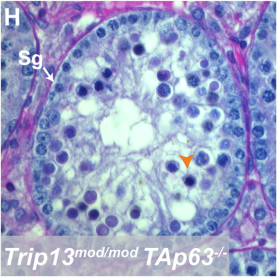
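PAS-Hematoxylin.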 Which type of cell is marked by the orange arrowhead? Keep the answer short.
Condensed spermatocytes.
